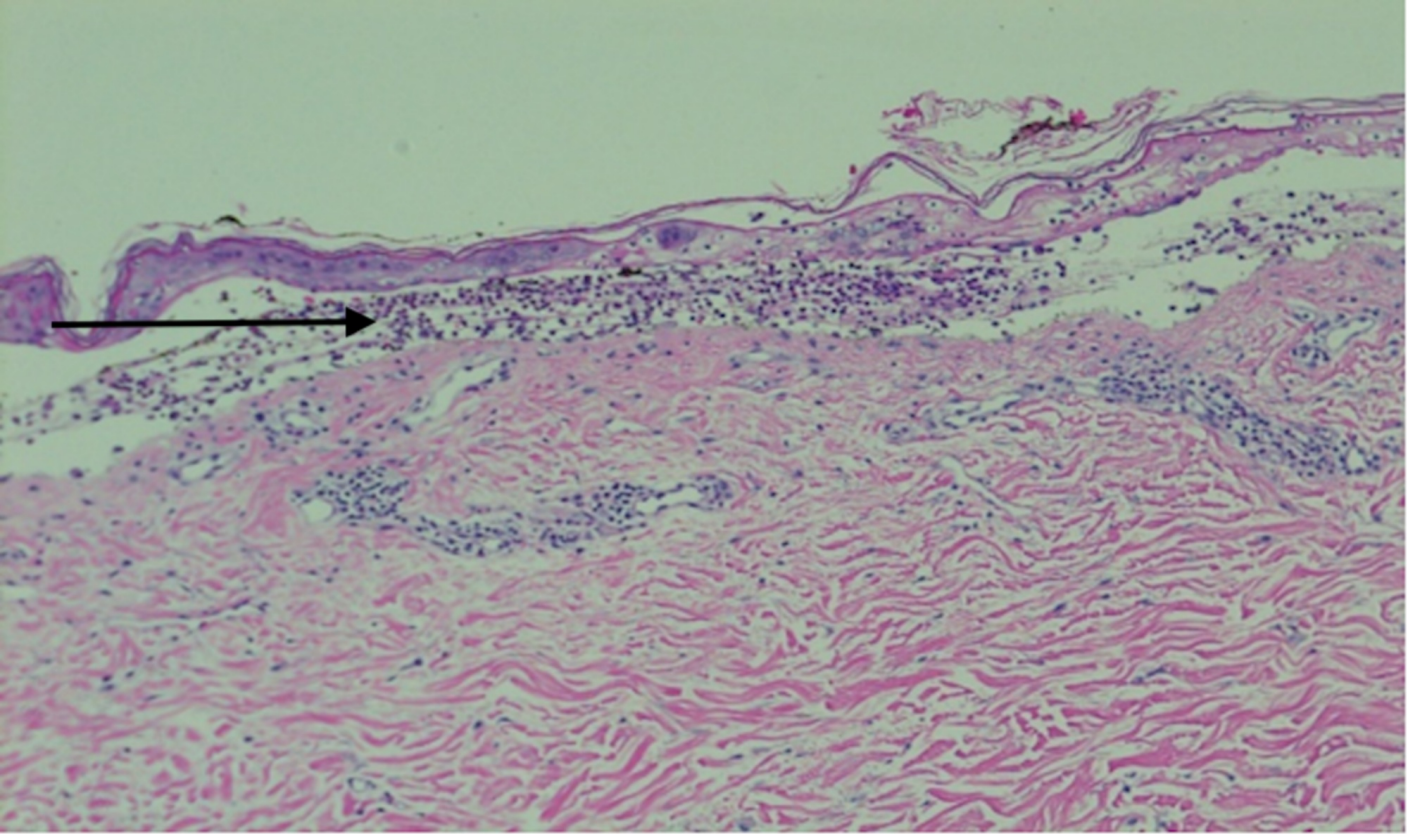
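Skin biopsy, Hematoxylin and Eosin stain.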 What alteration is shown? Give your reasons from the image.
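Subepidermal separation. The epidermis is lifted away from the underlying pink dermis. A clear space lies between the epidermis and the dermis along much of the section. The space holds numerous scattered inflammatory cells.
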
